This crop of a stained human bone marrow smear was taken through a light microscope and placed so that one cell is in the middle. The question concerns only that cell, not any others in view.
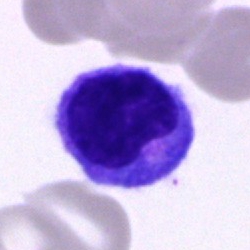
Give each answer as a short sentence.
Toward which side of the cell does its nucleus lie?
It is shifted toward the upper left of the cell.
